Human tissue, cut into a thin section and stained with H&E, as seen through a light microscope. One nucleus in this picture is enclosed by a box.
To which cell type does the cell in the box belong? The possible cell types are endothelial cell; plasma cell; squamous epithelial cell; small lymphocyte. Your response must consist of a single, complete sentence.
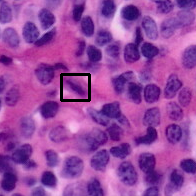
Histopathologically, the cell in the box is an endothelial cell.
